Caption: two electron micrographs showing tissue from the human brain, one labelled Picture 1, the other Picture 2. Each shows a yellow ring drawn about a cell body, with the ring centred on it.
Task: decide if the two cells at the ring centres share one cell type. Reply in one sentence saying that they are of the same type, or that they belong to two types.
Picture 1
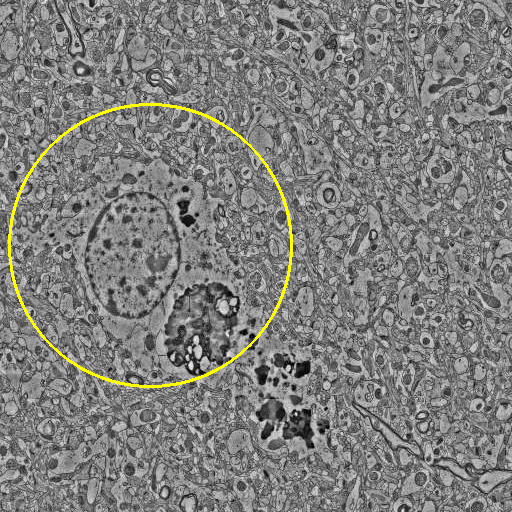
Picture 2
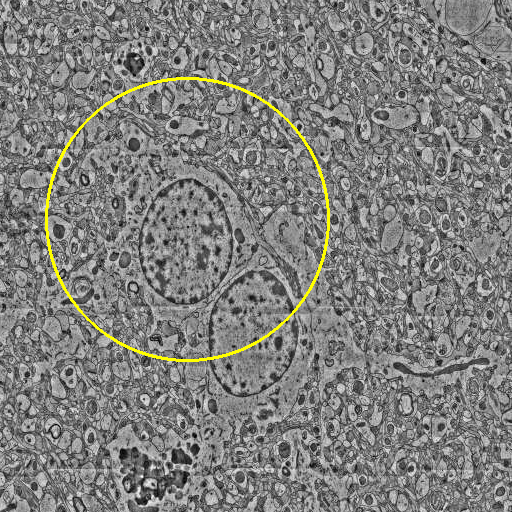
The cells at the ring centres in Picture 1 and Picture 2 are of the same type.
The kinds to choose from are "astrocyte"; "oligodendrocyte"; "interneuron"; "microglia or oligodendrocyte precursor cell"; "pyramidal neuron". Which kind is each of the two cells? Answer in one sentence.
The first and the second cell are each an astrocyte.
